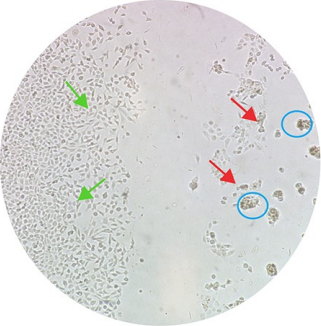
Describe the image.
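On the left a dense, nearly confluent sheet of flat, elongated to spindle-shaped cells fills the field. Toward the middle the sheet thins out and a paler band with few cells remains. On the right the cells are sparser, more irregular or rounded, and some gather into small dark clumps. These clumps are compact, brownish and stand out against the pale background.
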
